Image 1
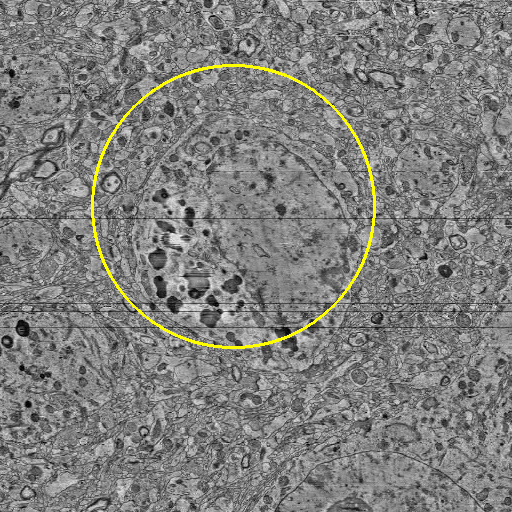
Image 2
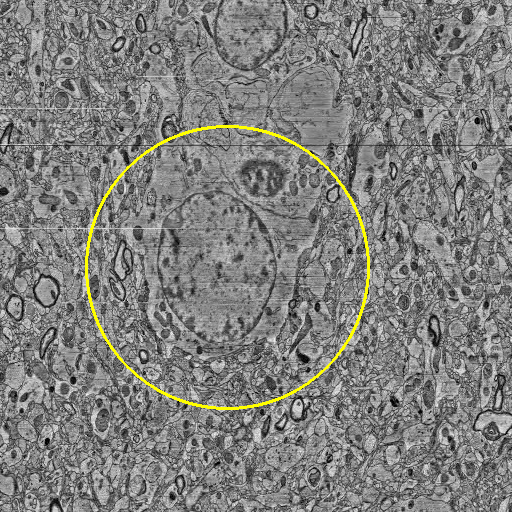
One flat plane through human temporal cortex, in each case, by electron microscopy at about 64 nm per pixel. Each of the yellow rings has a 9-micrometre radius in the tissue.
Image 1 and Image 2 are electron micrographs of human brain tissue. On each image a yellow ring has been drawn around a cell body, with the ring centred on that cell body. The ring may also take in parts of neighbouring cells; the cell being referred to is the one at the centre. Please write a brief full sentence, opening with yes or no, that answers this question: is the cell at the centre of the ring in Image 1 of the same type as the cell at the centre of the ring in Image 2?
No, the two cells are of two types.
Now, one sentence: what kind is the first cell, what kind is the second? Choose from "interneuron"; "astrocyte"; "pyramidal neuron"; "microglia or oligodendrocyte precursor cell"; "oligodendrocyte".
The first picture has an interneuron at its ring centre, and the second has an astrocyte.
